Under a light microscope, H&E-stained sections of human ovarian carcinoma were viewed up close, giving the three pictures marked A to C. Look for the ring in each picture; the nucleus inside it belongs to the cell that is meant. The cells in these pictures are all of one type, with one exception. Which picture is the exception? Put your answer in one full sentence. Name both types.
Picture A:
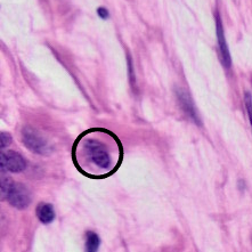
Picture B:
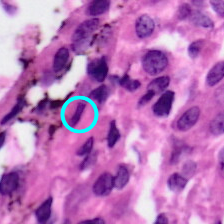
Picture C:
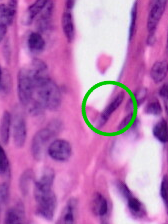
Unlike the rest, which show endothelial cells, picture A shows a “macrophage or monocyte”.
